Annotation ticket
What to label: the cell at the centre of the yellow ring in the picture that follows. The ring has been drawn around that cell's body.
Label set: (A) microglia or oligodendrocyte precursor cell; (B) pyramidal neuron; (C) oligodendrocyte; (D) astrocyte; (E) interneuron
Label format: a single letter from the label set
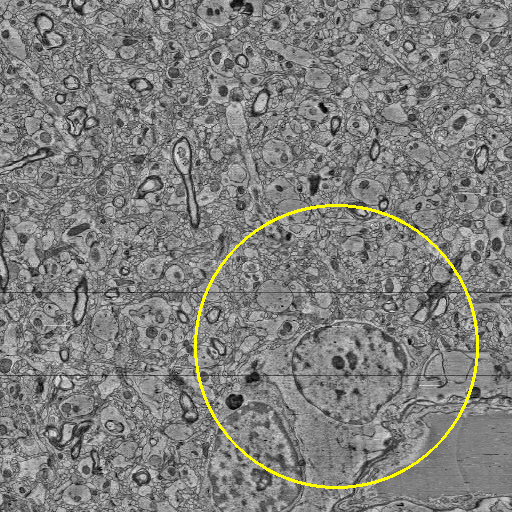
A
